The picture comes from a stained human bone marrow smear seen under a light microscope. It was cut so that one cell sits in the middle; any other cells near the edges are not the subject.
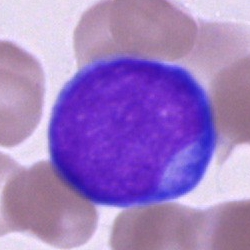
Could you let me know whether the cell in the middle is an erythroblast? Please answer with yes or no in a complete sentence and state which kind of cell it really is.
No, the centred cell is a blast, and it is not an erythroblast.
